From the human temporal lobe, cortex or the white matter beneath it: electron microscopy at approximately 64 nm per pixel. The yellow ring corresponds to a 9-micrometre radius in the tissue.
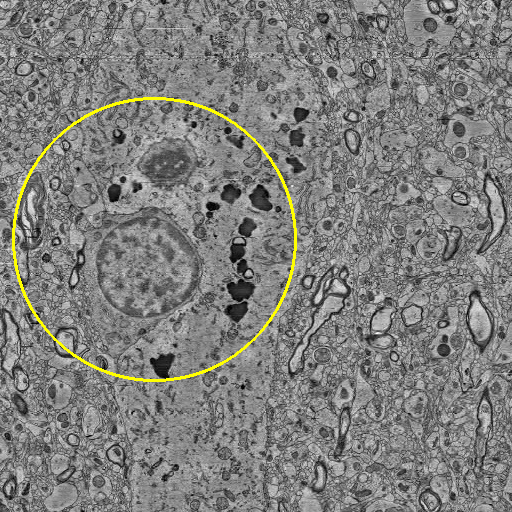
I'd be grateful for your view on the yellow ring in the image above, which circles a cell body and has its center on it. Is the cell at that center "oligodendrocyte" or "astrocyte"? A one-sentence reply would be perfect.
The cell at the center of the yellow ring is an oligodendrocyte.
